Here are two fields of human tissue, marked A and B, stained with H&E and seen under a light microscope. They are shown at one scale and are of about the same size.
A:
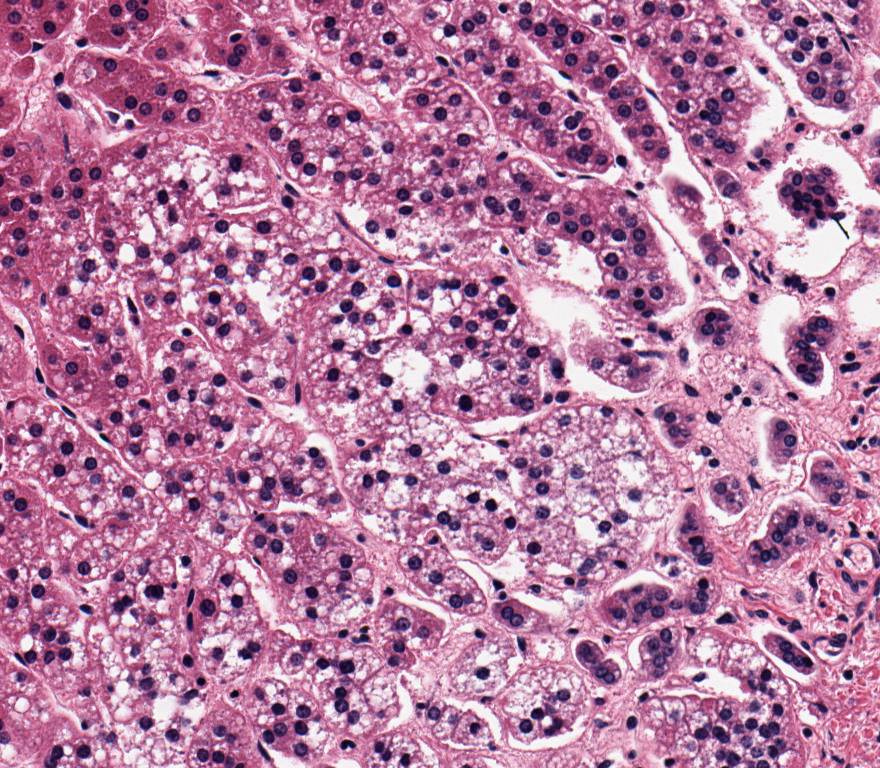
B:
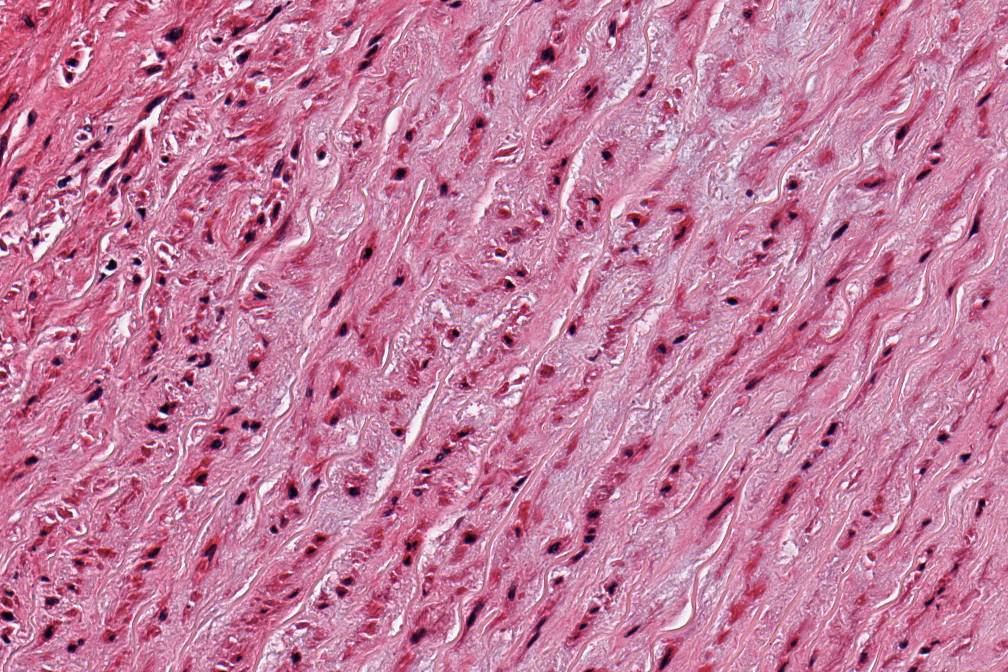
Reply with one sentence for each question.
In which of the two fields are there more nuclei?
There are more nuclei in picture A.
